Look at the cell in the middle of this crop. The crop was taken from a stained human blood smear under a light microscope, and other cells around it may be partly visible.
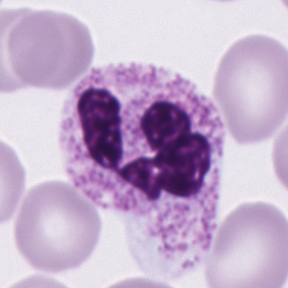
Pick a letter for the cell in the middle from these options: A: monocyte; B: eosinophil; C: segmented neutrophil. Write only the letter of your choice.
C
